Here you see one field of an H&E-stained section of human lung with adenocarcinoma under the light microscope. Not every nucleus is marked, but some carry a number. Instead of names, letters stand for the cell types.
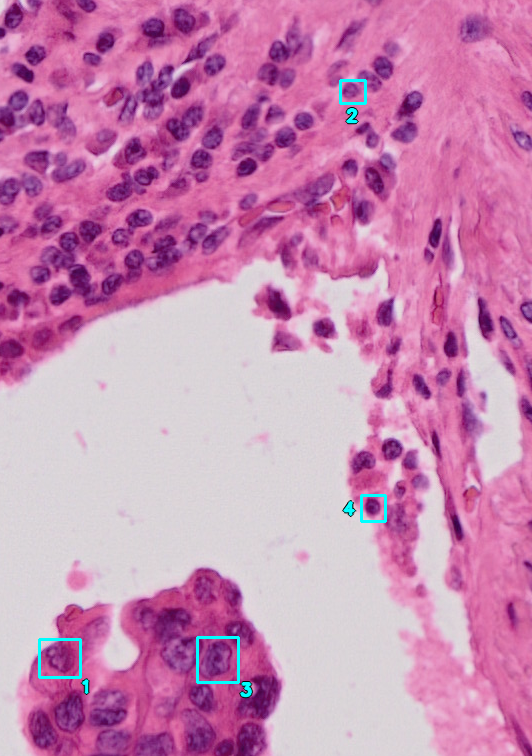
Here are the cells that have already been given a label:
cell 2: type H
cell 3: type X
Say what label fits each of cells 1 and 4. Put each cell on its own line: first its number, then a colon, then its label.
1: type X
4: type H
